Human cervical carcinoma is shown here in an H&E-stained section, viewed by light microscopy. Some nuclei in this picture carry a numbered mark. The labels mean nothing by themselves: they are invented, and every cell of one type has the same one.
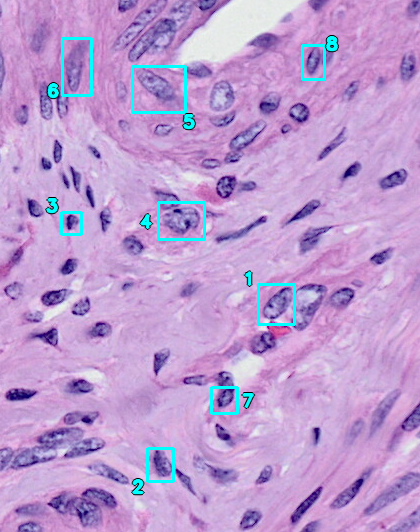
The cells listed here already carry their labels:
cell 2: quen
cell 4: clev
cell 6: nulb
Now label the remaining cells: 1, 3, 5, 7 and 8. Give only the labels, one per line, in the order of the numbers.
clev
quen
nulb
clev
nulb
